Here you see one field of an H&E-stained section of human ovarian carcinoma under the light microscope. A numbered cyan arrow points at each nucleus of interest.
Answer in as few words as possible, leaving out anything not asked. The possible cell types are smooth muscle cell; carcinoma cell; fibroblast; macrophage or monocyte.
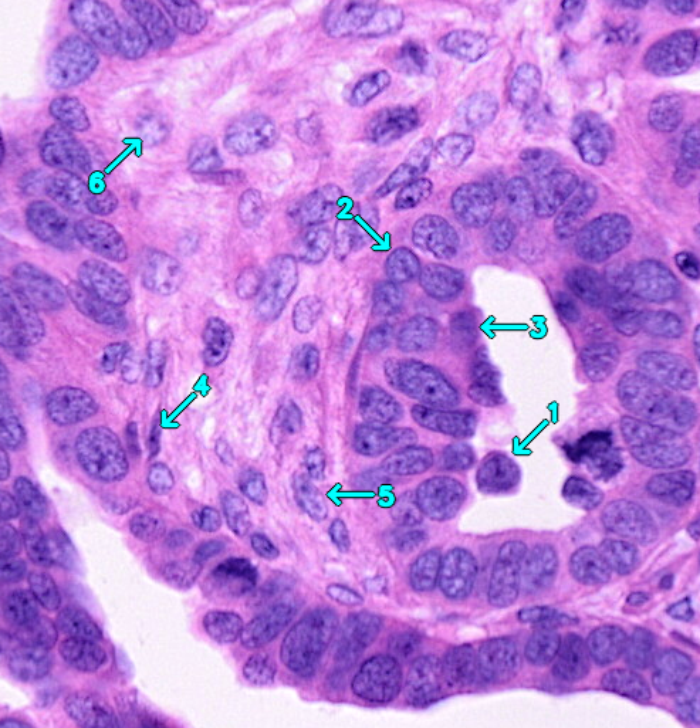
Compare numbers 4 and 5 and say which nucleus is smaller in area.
4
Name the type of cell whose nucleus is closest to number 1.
carcinoma cell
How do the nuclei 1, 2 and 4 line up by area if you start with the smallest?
4, 2, 1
